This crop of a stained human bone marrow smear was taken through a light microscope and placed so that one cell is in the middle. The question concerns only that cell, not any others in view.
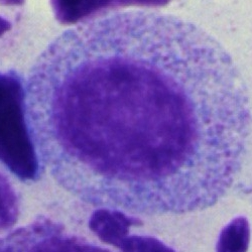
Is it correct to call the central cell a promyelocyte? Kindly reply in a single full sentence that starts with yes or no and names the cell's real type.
Yes, within this crop, the central cell is a promyelocyte.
